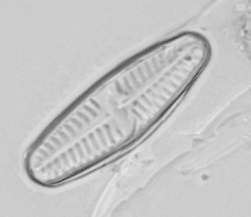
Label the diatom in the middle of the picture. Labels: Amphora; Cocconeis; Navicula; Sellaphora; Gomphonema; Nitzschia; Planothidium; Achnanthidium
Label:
Planothidium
